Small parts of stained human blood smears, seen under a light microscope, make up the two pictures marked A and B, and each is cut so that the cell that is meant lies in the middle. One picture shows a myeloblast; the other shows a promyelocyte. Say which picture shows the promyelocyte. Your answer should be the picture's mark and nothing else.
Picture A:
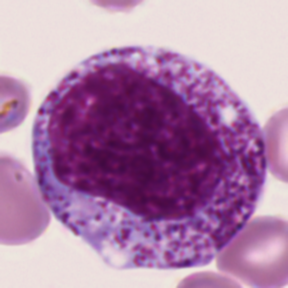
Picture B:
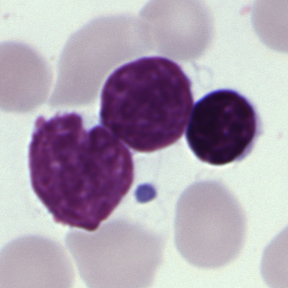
A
